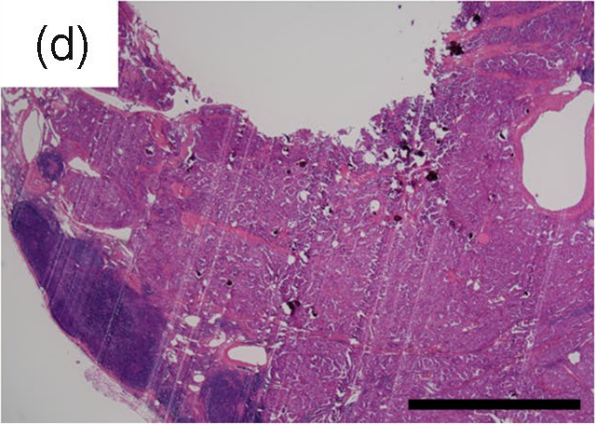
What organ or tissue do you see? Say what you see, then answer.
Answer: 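Lymph node metastasis. A band of dense dark blue lymphoid tissue lies at the lower left edge. Most of the section is taken up by crowded small glands and papillae of tumour.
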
